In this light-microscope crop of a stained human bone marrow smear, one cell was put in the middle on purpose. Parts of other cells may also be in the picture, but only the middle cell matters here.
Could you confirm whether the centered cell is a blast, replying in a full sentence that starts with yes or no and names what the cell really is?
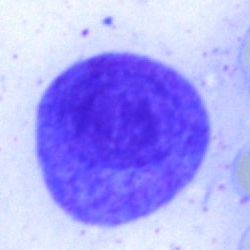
No, a blast is not what the central cell is; it is a promyelocyte.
